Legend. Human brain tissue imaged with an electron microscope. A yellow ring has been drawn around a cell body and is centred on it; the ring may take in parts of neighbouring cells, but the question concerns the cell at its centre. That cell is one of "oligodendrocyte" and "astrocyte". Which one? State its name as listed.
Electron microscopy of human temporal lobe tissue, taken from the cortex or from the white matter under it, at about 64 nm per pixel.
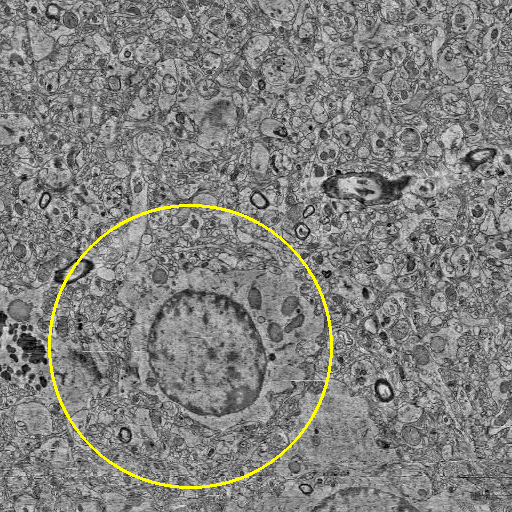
astrocyte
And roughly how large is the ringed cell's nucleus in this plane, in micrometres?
In this plane the nucleus is about 8 micrometres by 7.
